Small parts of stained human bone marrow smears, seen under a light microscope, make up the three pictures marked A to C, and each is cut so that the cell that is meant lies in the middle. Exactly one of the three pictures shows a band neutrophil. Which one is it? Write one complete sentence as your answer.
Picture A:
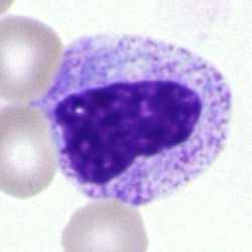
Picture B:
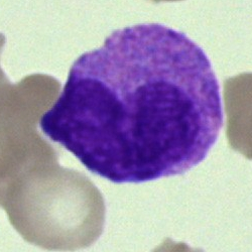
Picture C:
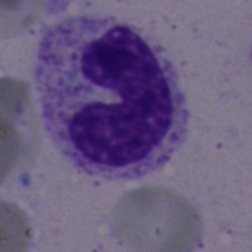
The band neutrophil is the one in picture C.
